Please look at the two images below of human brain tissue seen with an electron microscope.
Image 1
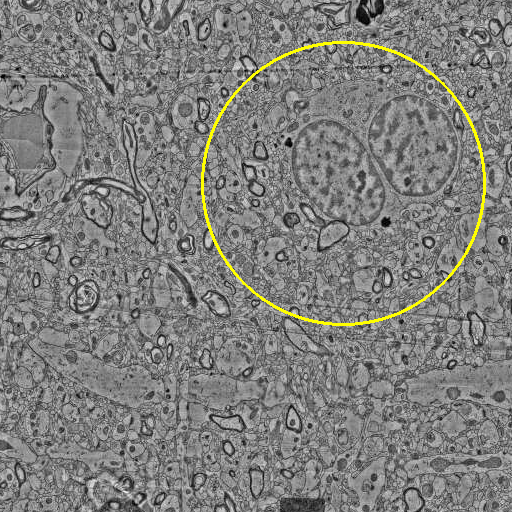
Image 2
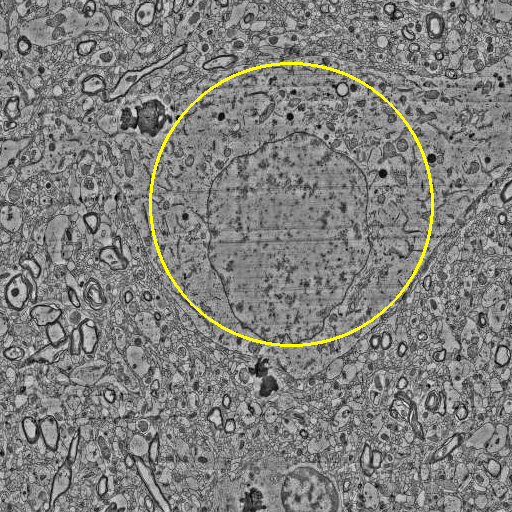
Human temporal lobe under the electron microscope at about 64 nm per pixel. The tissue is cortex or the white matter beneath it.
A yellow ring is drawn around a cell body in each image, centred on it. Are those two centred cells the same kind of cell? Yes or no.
no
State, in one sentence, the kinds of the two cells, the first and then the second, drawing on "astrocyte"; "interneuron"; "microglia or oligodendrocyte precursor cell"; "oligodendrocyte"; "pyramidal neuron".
The ring in the second picture is centred on a pyramidal neuron, the ring in the first on an oligodendrocyte.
